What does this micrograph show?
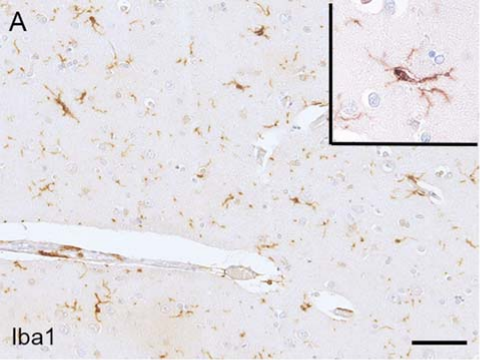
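This is brain parenchyma in which ramified microglia stand out in brown against a pale background with small blue nuclei of other cells. The microglia are spread fairly evenly, each with a small dark body and several thin, branching processes reaching out in different directions, without clumping. A long, empty vessel runs across the lower left, and a few brown cells sit along its wall, in keeping with perivascular macrophages. The inset shows one such microglial cell at higher magnification, with a compact body and fine, tapering branched processes among unstained neighbouring cells.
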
